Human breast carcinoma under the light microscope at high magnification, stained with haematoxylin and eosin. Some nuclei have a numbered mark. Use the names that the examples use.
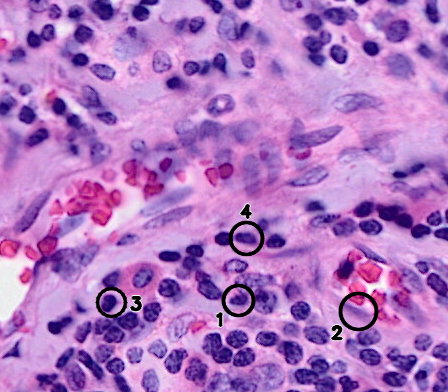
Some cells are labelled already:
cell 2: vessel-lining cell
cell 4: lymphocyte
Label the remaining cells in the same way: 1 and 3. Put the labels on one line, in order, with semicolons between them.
lymphocyte; lymphocyte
